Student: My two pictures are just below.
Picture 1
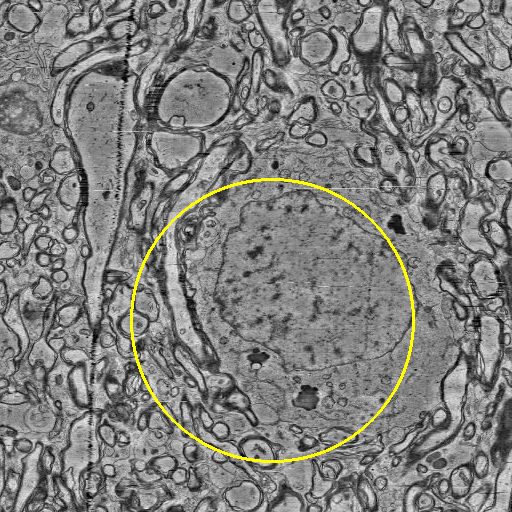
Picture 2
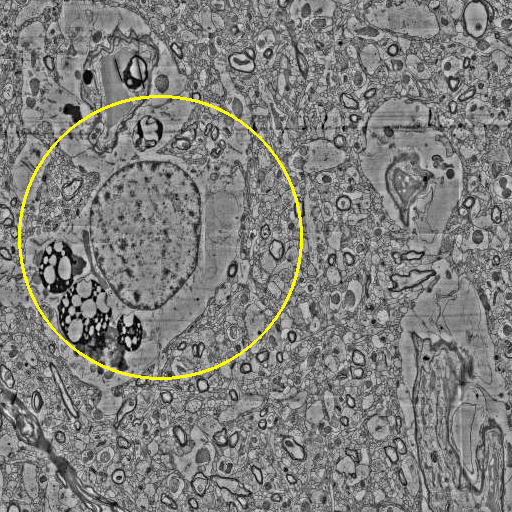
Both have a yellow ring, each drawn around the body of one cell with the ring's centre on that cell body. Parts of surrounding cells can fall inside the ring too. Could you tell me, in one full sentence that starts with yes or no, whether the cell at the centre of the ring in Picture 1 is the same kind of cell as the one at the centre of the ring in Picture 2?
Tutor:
No, the two cells are of two kinds.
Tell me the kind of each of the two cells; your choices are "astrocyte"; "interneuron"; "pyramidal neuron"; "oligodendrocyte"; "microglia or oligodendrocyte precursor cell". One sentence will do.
The ringed cell is a pyramidal neuron in the first picture and an astrocyte in the second picture.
